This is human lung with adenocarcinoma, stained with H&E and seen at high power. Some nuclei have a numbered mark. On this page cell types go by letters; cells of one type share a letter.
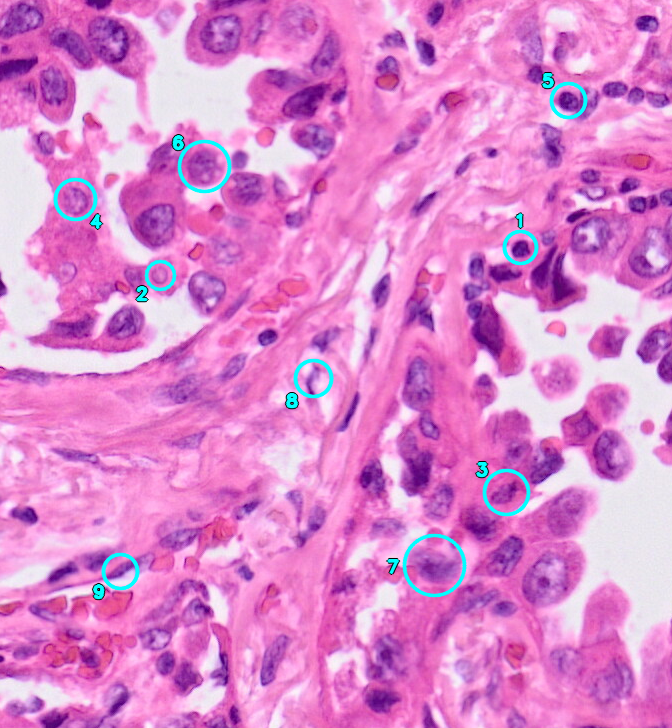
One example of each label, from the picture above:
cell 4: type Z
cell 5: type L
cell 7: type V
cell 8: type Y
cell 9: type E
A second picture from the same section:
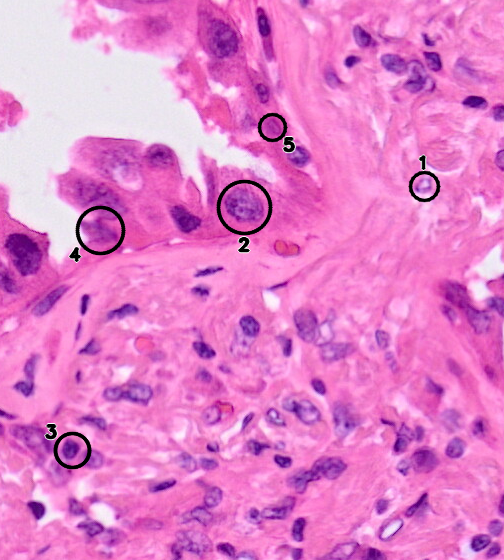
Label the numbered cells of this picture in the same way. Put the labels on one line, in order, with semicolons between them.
type Y; type V; type L; type V; type Z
